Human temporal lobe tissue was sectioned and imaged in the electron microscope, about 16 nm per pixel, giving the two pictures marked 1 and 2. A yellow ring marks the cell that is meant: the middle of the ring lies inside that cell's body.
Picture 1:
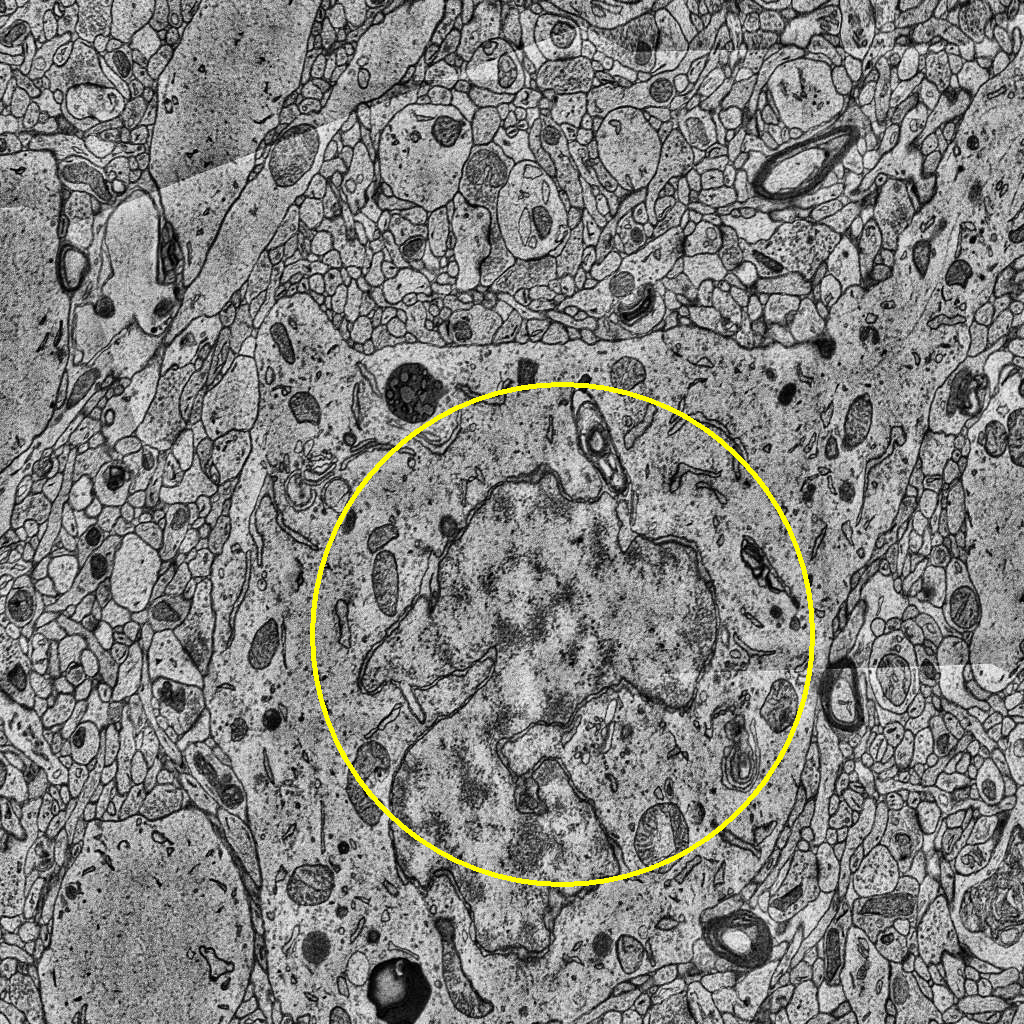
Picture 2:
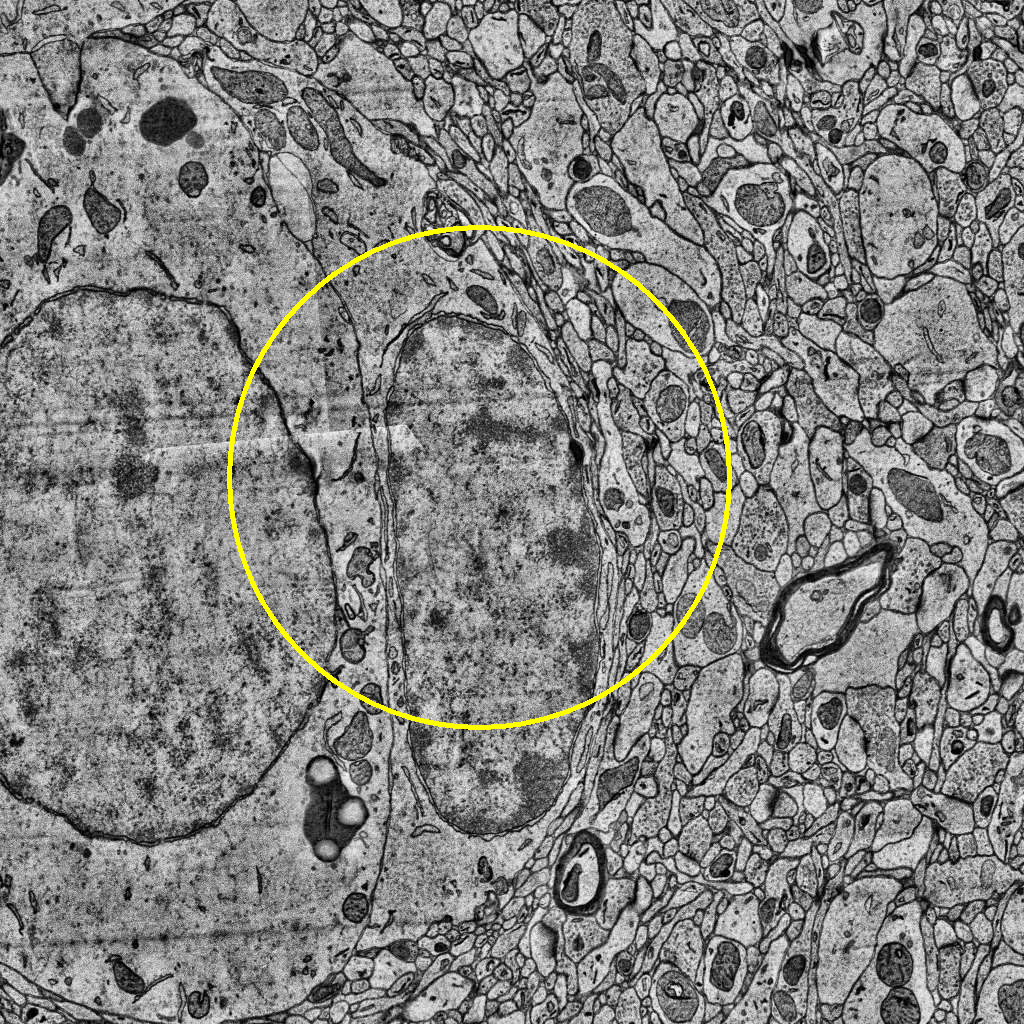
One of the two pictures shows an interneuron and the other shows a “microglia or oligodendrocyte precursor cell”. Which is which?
Picture 1 is of an interneuron, and picture 2 is of a “microglia or oligodendrocyte precursor cell”.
